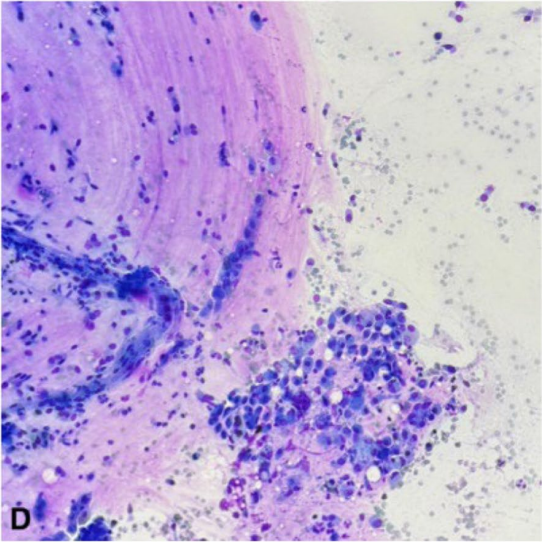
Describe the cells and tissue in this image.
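On the left, a broad band of pink-magenta material shows wavy, streaming layers with scattered small nuclei embedded in it. Dark blue strands of crowded, elongated nuclei run along its edge. The background on the right is pale, with scattered small round cells and fine debris.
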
